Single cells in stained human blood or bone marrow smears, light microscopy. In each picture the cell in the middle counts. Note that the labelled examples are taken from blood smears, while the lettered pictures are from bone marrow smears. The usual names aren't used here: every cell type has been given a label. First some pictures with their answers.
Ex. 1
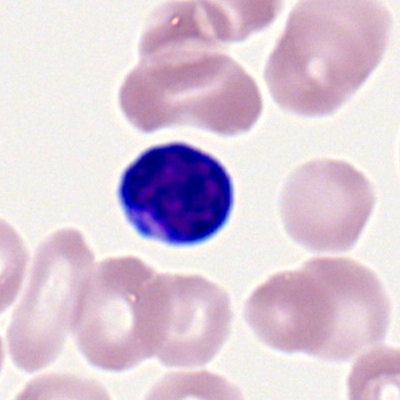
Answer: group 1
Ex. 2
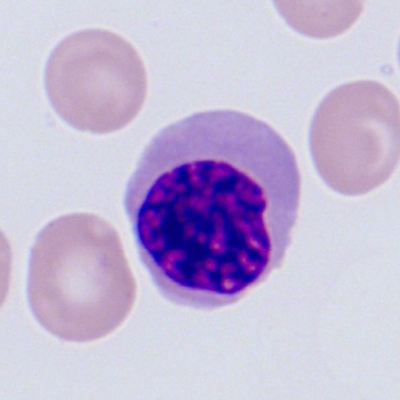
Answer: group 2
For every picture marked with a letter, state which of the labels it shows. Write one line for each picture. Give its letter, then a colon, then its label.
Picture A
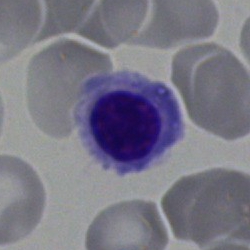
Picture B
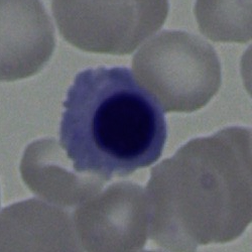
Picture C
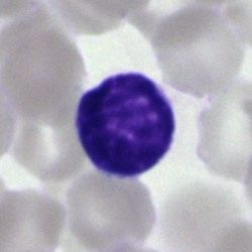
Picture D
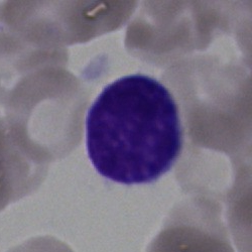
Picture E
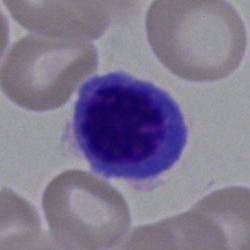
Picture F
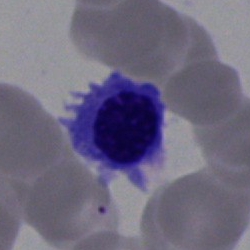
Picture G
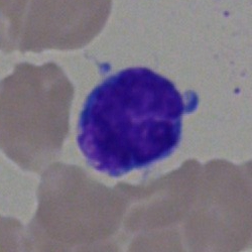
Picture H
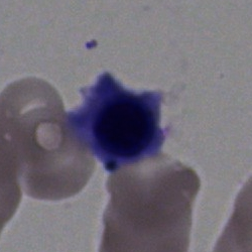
A: group 2
B: group 2
C: group 1
D: group 1
E: group 2
F: group 2
G: group 1
H: group 2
